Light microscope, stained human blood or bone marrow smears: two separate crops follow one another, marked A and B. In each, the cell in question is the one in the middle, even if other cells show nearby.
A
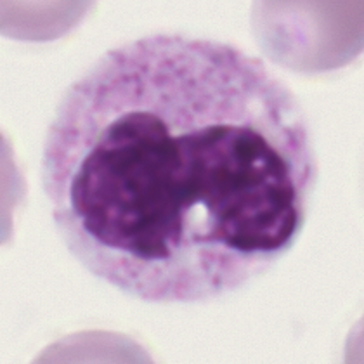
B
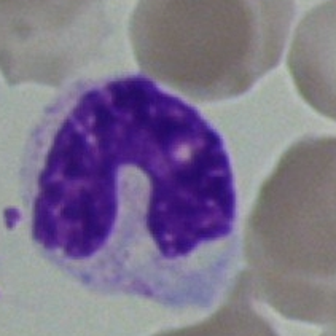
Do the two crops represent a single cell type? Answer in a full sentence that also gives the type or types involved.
Yes, as shown in both crops, the central cells are band neutrophils.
